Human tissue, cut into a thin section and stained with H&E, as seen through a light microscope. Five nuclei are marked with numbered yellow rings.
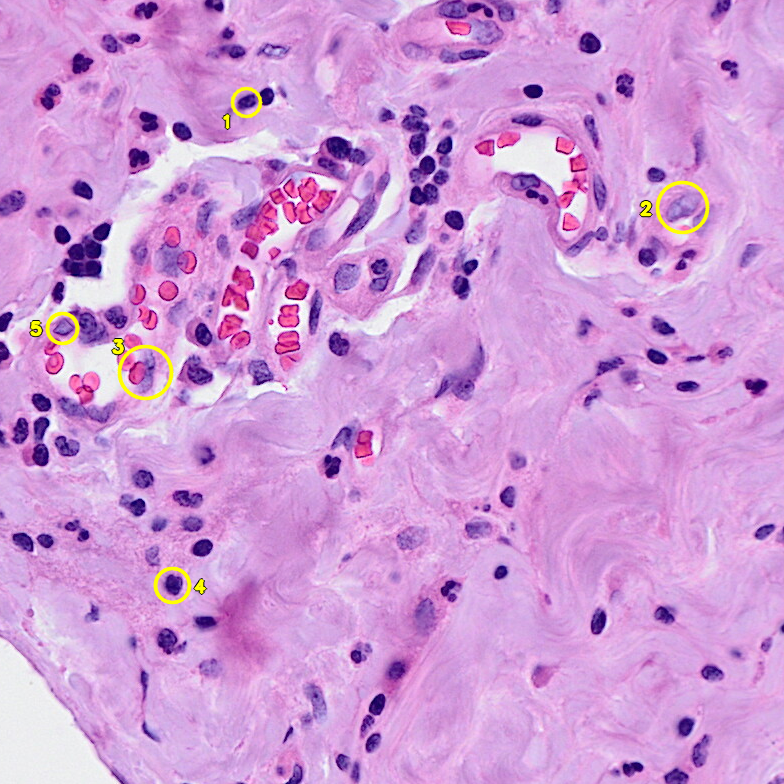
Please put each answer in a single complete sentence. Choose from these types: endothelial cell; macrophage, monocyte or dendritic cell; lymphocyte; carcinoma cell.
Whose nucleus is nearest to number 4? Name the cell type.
Closest to number 4 lies the nucleus of a macrophage, monocyte or dendritic cell.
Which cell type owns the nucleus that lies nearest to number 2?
The nucleus nearest to number 2 is that of an endothelial cell.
